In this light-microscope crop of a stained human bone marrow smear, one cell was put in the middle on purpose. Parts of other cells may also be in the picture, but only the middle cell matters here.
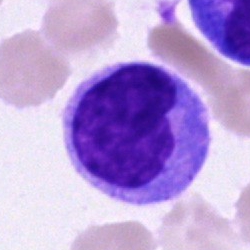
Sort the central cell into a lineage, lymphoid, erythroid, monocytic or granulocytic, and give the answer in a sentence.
The cell at the center of this crop is categorized as monocytic in lineage.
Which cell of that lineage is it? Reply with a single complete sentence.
Among the cells in view, the one in the middle is a monocyte.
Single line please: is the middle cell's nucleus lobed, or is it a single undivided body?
A single compact nucleus is present, shaped round, oval or like a kidney.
